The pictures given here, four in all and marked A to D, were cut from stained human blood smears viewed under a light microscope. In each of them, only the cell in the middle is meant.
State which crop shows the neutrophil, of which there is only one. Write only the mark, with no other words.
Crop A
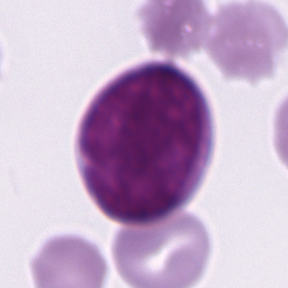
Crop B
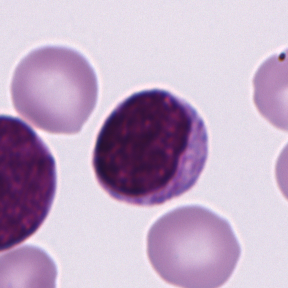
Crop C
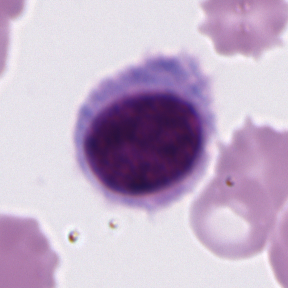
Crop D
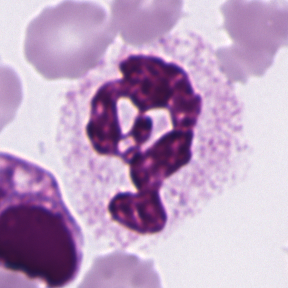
D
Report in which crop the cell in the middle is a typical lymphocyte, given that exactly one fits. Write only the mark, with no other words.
B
